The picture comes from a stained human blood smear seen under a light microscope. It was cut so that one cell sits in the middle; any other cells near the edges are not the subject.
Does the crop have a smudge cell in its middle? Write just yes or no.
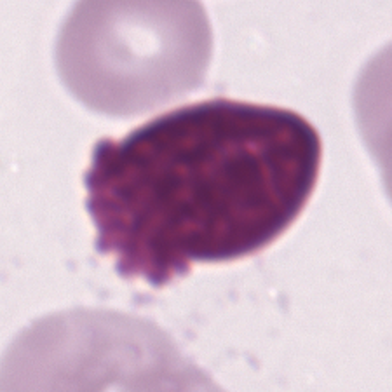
yes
